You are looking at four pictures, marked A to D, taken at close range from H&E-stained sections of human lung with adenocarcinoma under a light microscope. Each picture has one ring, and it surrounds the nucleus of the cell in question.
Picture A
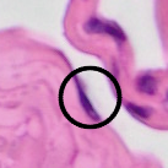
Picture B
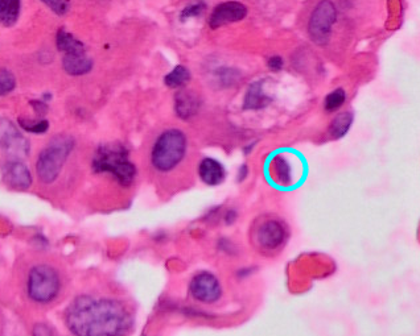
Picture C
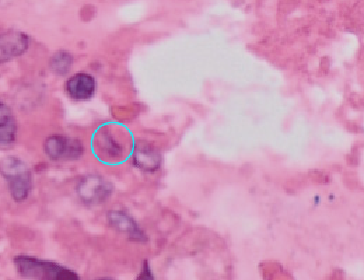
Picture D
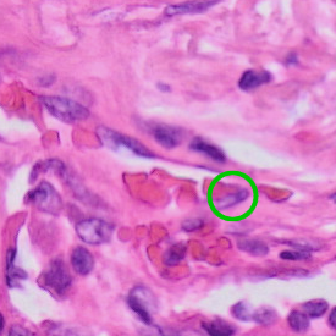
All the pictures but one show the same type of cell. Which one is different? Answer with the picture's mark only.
C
